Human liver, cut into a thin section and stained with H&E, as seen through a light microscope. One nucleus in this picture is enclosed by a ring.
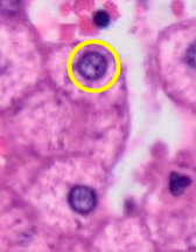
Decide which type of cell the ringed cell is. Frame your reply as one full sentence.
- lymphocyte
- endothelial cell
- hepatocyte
In the context of this tissue, the ringed cell is a hepatocyte.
